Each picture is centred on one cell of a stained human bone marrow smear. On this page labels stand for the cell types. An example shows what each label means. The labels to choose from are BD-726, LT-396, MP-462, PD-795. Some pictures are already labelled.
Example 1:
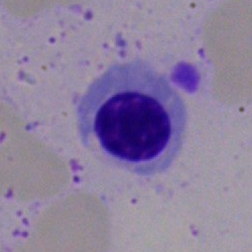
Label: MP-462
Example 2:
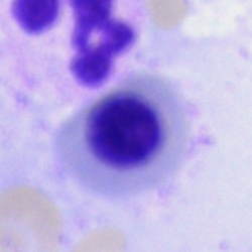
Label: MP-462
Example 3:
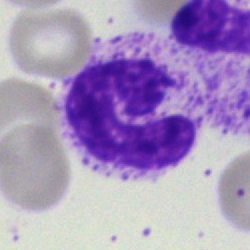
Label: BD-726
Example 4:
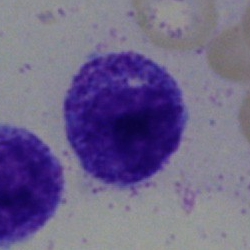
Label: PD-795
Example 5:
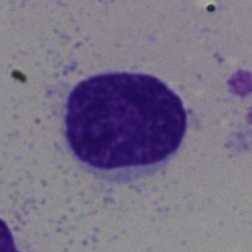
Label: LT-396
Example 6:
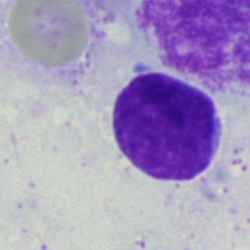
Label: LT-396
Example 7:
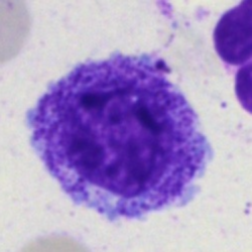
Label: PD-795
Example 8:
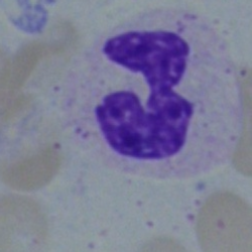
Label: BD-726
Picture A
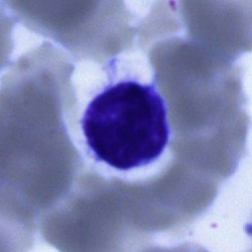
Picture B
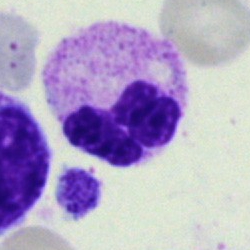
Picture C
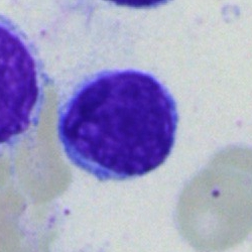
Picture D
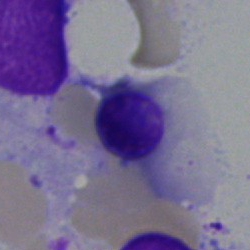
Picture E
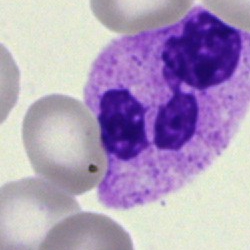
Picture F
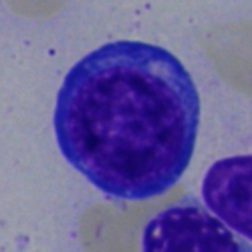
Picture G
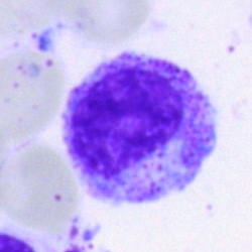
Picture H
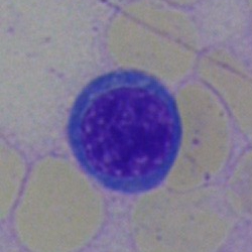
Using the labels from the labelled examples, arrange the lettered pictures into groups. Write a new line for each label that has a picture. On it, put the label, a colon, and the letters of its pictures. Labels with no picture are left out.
BD-726: B, E
LT-396: A, C
MP-462: D, F, H
PD-795: G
